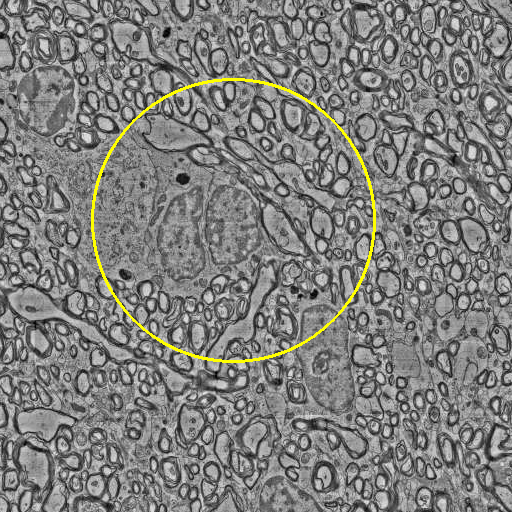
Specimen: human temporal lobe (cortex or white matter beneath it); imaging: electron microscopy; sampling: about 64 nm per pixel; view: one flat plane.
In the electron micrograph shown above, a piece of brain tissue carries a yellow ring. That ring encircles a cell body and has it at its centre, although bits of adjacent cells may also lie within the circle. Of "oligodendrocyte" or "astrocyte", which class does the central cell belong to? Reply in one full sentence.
The cell body at the centre of the yellow ring belongs to an oligodendrocyte.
